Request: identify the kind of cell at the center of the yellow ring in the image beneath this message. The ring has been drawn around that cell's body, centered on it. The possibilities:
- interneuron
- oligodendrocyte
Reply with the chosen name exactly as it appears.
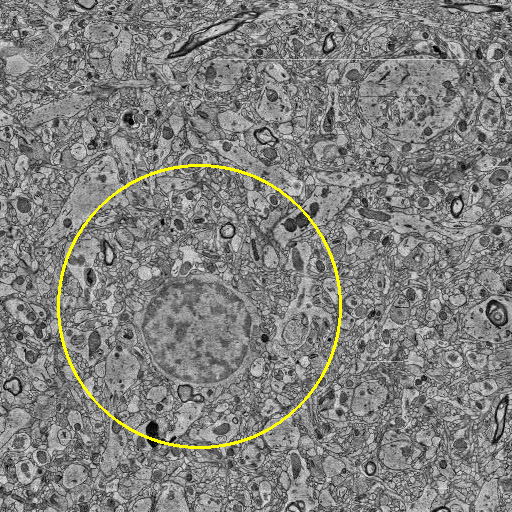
oligodendrocyte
